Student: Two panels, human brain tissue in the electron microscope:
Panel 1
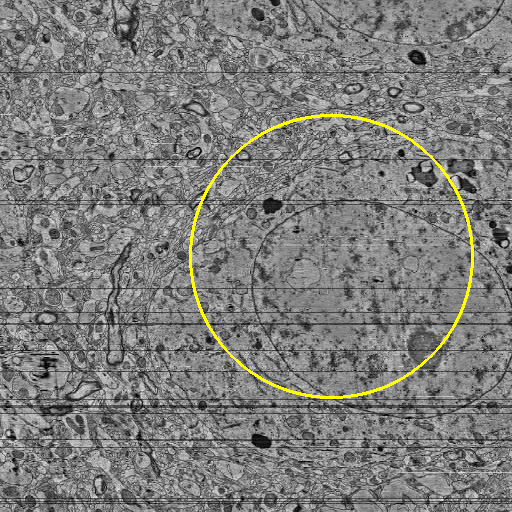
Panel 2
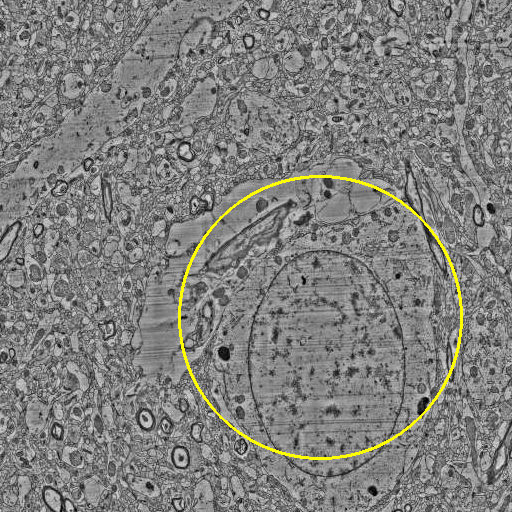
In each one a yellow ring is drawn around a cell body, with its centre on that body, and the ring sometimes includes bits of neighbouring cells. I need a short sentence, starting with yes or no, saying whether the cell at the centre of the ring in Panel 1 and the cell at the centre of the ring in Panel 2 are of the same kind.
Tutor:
Yes, they are the same kind of cell.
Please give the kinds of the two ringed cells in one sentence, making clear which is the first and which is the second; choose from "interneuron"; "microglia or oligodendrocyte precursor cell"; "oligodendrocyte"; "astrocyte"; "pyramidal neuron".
Each of the two rings surrounds a pyramidal neuron.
